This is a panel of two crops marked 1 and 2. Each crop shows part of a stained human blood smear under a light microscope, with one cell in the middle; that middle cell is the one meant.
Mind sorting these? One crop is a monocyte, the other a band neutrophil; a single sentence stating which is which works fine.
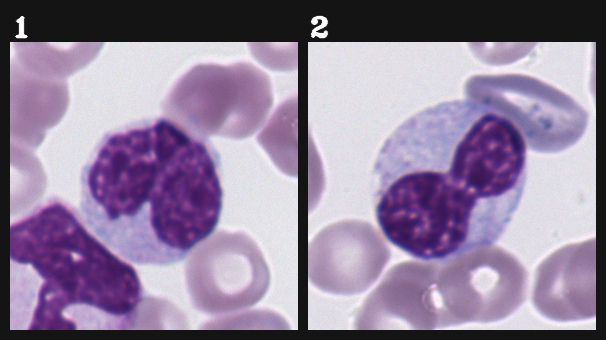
The cell of crop 1 is a monocyte; that of crop 2 is a band neutrophil.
